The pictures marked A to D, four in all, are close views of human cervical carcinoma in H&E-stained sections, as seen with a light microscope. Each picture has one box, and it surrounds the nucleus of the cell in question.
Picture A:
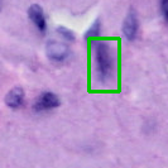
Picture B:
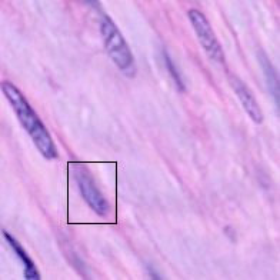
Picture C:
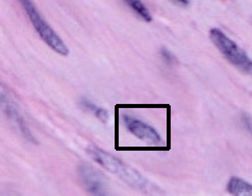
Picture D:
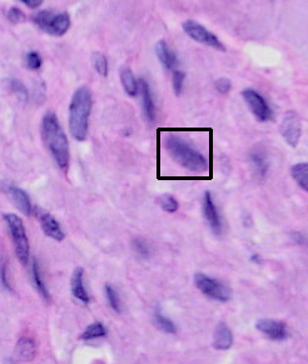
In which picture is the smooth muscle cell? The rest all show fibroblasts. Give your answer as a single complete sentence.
It is picture B that shows the smooth muscle cell.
